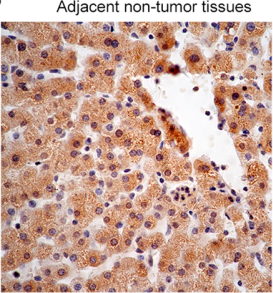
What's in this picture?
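The nuclei are round, blue and fairly uniform in size, usually one per cell and placed centrally. In the central lumen some cells and debris stain more darkly brown. The cells are evenly spaced, and the nuclei take up only a small part of each cell.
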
